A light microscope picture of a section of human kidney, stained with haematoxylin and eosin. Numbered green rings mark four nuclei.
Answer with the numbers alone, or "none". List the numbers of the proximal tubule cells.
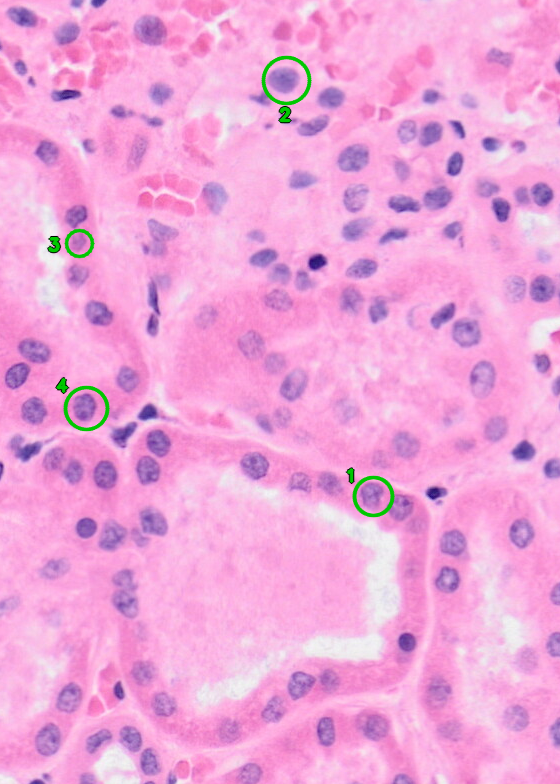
1, 3, 4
